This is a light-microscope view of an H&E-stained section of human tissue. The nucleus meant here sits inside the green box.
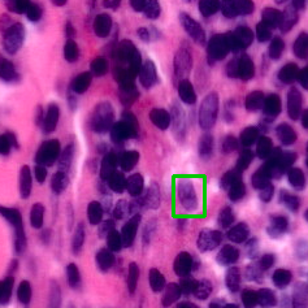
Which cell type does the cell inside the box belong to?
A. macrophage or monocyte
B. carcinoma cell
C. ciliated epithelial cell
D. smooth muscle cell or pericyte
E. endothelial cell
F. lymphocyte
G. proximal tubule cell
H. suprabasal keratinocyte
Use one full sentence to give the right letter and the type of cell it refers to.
Option E is the one to take: the cell inside the box is an endothelial cell.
